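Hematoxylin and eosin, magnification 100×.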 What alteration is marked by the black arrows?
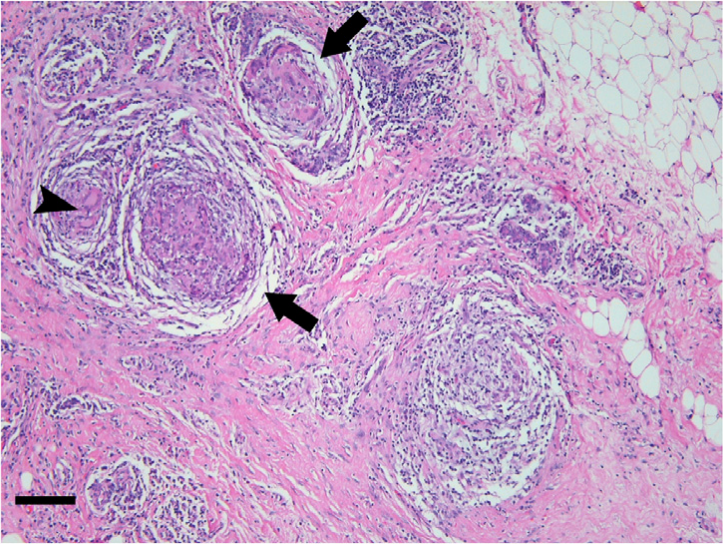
Granulomatous inflammation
